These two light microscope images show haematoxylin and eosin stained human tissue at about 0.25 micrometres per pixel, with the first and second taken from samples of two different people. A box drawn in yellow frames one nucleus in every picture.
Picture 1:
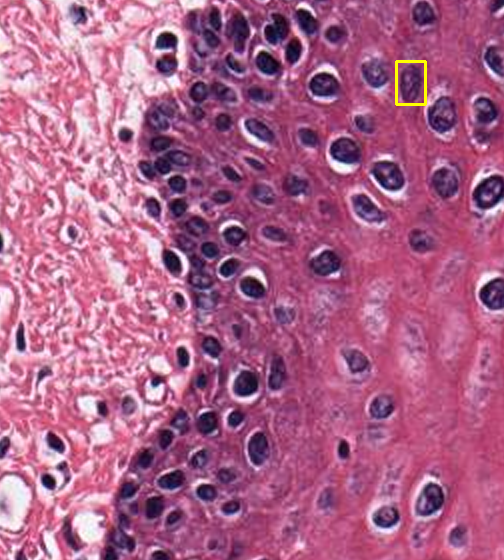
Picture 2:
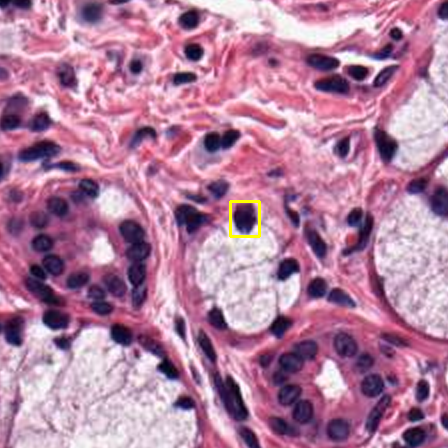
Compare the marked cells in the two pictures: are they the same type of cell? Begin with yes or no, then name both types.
No, the first is a squamous epithelial cell and the second a mucous gland cell.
